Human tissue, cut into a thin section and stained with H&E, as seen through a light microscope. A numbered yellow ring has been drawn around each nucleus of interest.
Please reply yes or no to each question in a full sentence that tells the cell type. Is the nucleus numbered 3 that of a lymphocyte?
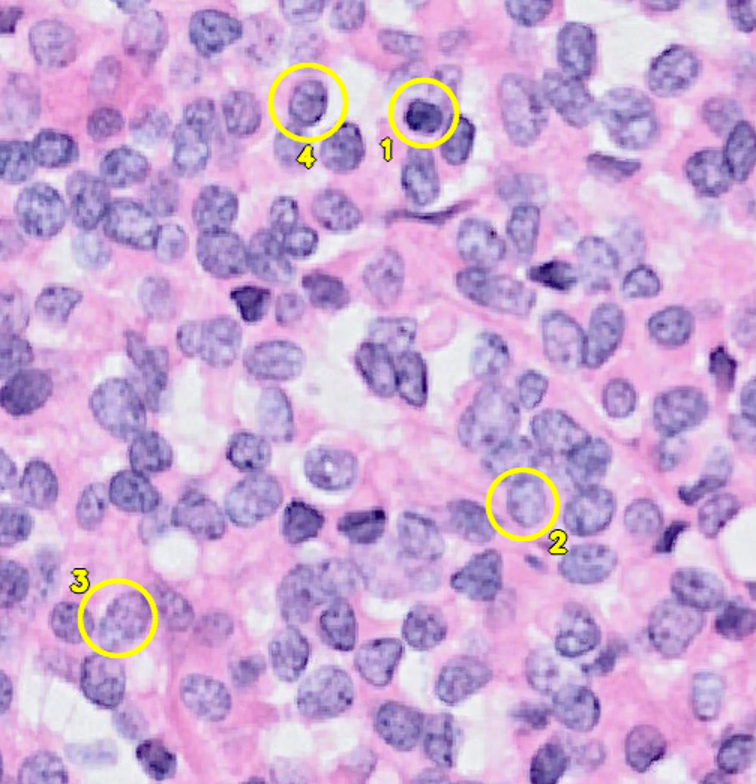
No, the marked cell 3 is not a lymphocyte, being instead a carcinoma cell.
